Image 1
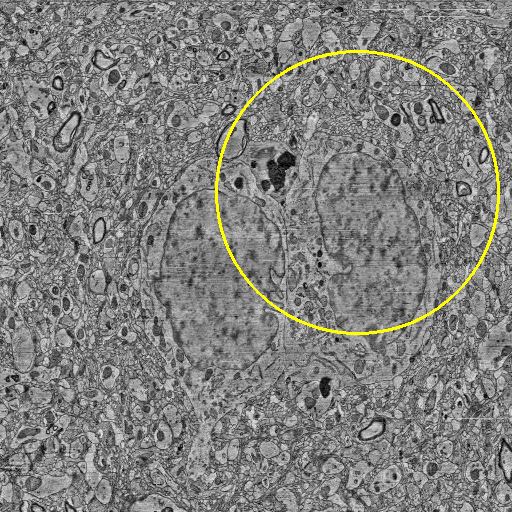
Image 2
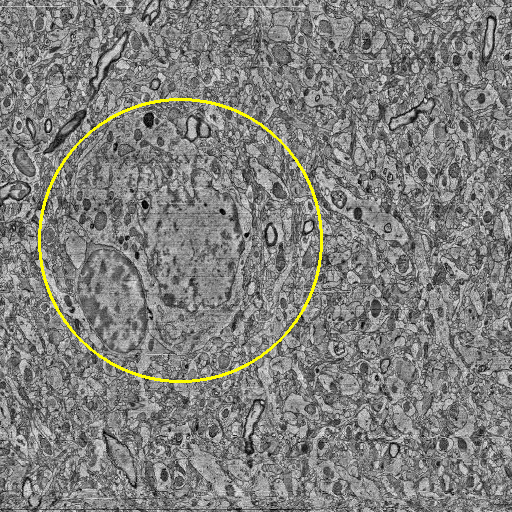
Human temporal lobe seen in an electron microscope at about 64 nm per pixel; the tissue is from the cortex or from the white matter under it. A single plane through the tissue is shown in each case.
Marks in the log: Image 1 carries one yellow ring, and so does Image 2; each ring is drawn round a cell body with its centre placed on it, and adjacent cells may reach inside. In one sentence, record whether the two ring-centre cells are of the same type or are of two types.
The two cells at the ring centres, one in each image, are of the same type.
